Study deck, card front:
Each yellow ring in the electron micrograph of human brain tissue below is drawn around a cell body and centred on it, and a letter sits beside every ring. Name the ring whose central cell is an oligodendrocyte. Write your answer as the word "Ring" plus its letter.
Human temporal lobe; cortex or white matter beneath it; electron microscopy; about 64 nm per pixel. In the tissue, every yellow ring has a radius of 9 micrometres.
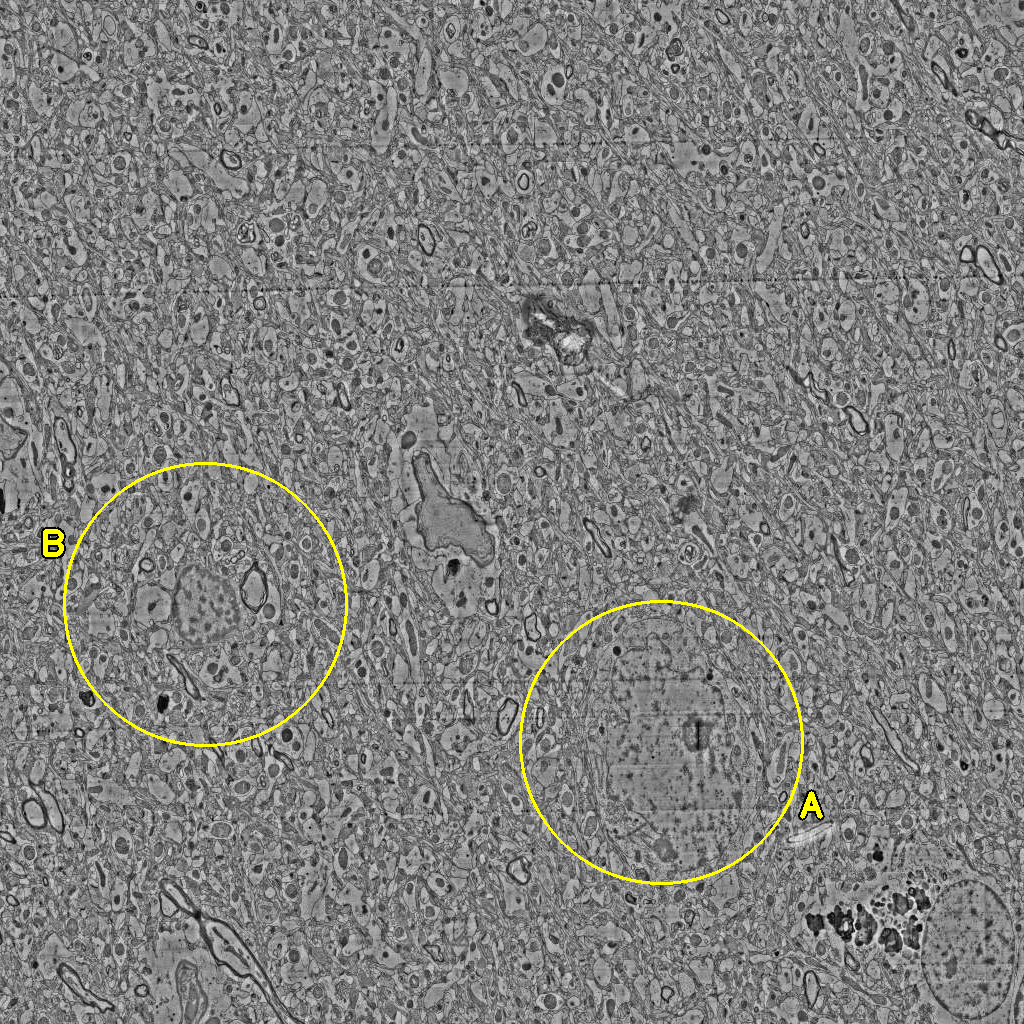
Ring B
